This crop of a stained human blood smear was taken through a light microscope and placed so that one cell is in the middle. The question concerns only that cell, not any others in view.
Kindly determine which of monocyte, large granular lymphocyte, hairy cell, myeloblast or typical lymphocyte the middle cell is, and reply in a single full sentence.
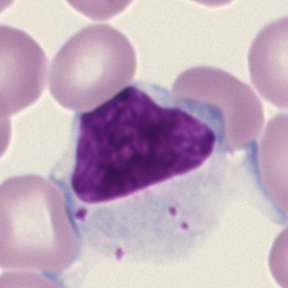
The cell nearest the centre of this crop is a large granular lymphocyte.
